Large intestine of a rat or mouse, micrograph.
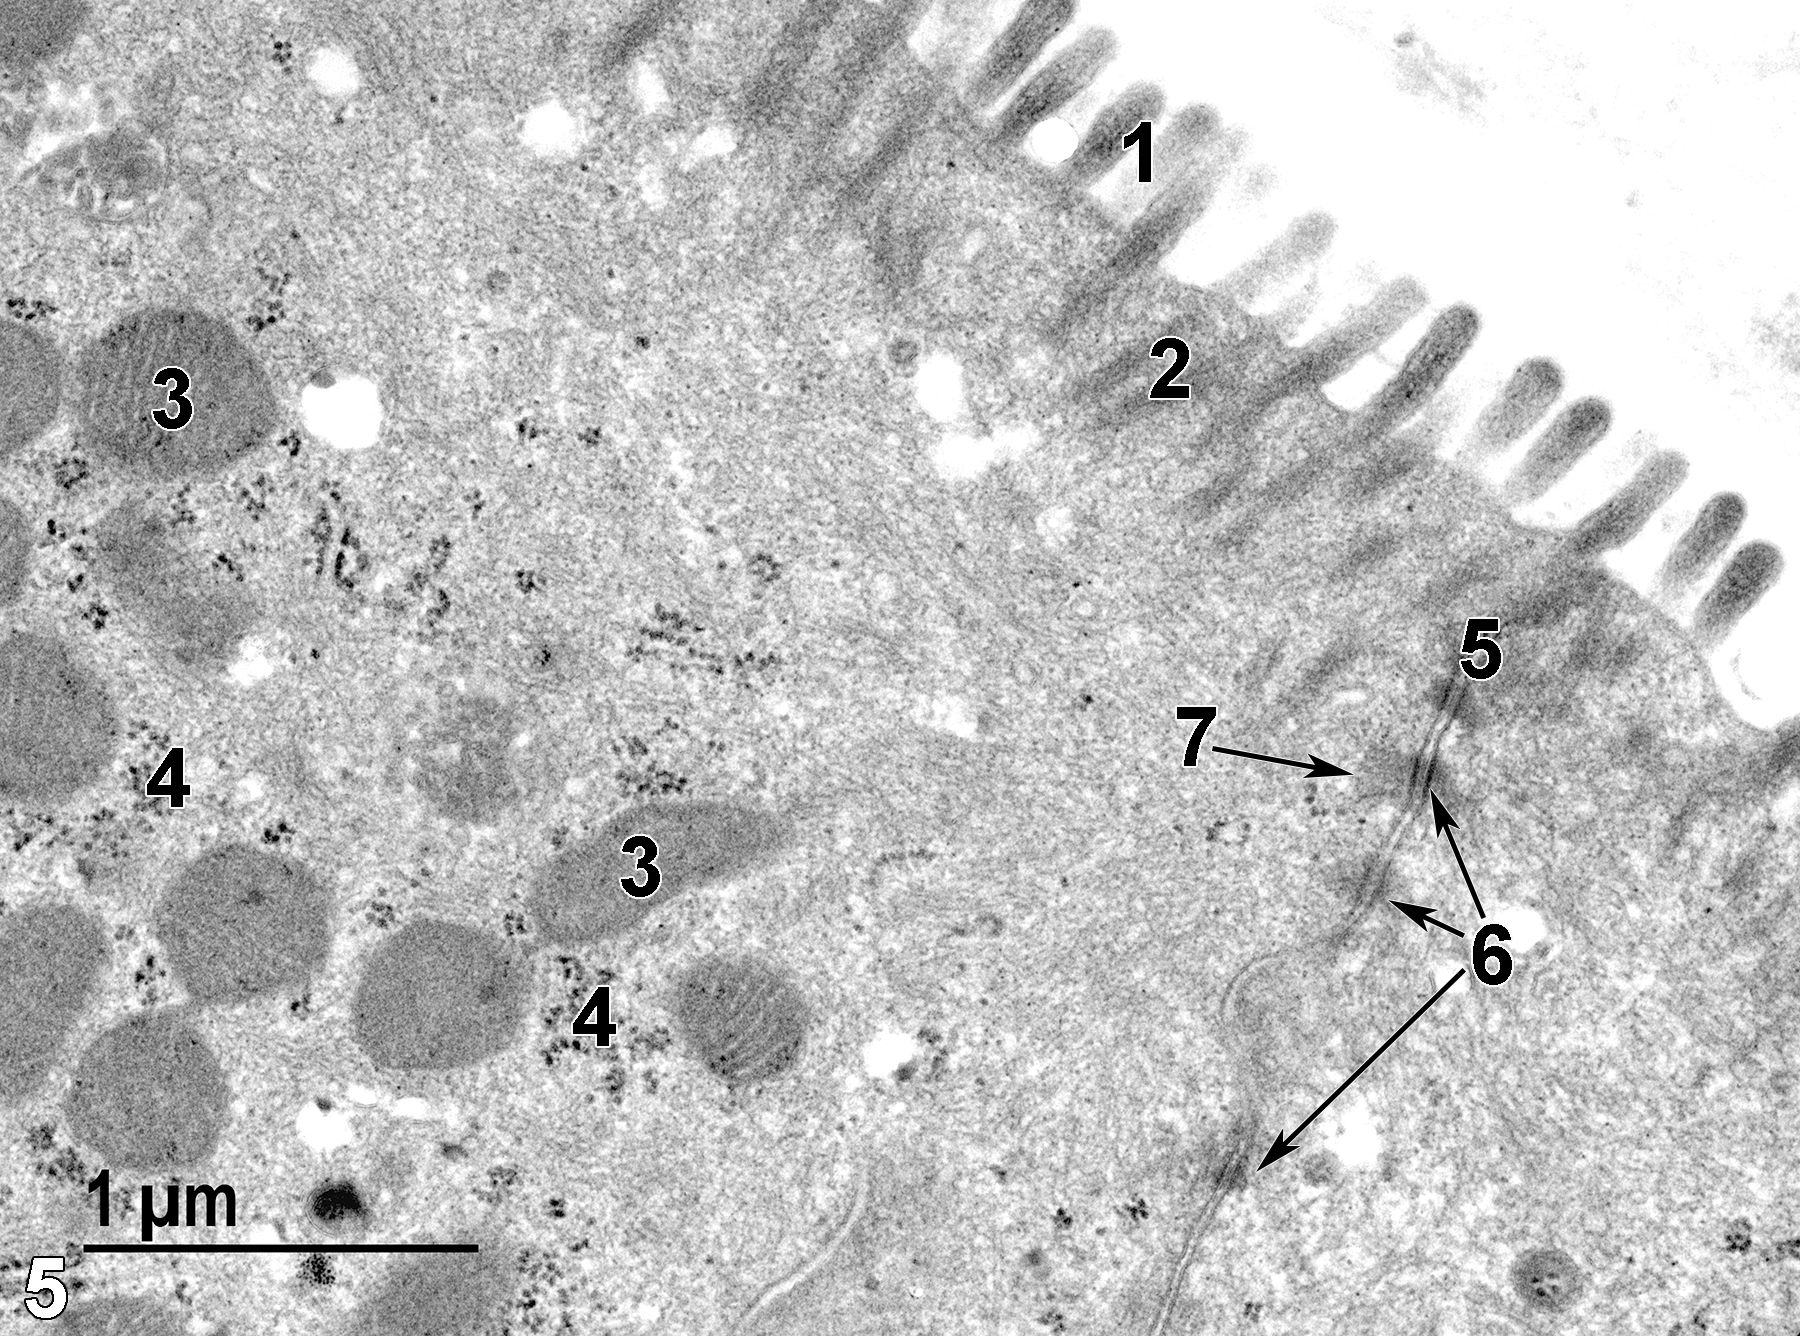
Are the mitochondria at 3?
Yes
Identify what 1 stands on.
Microvilli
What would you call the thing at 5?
5 marks the junctional complex.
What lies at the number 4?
At 4: free ribosomes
